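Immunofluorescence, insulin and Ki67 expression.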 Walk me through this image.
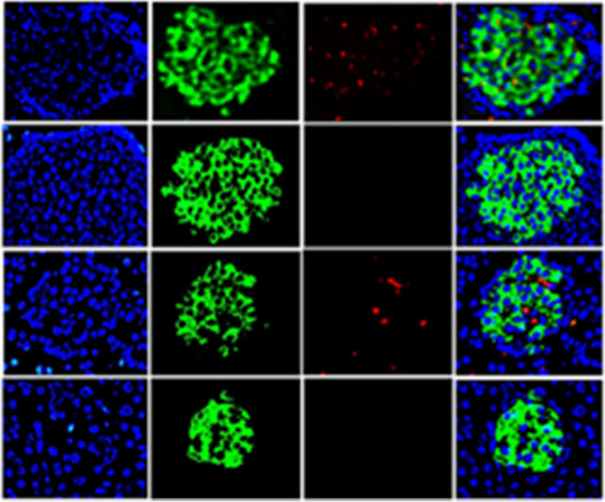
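This is a grid of small fluorescence images of pancreatic islets, each row showing one islet, with the columns giving separate channels and then the overlay. In the blue channel, many small round nuclei are packed across the whole field. In the green channel, a single rounded cluster of cells fills the middle of the frame. The green lies in the cytoplasm and leaves small dark holes where the nuclei sit. In some rows, a few scattered red dots lie within the cluster. In the overlay, these red dots fall inside the green cluster.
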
